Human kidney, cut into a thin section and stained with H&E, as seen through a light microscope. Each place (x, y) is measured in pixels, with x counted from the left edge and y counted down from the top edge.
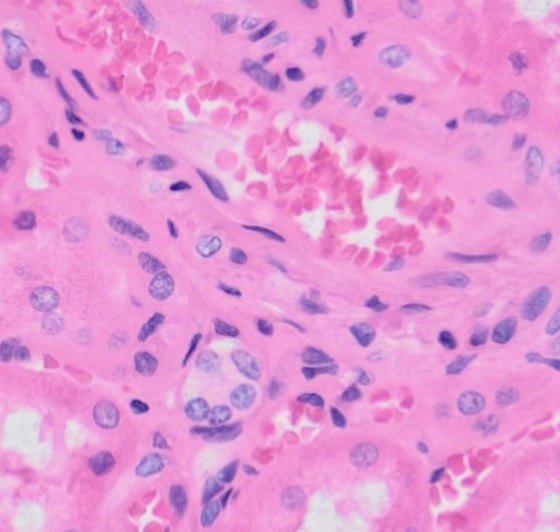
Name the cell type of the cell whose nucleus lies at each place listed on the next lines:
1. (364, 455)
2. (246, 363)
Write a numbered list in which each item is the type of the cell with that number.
1. proximal tubule cell
2. collecting duct cell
